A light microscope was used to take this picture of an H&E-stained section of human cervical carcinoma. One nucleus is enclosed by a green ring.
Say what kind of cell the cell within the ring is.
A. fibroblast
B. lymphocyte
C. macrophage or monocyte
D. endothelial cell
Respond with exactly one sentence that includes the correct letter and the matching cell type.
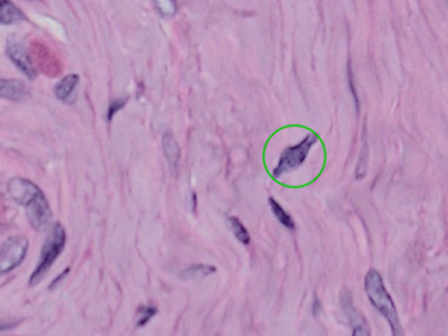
Option A stands as correct, with the cell within the ring being a fibroblast.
